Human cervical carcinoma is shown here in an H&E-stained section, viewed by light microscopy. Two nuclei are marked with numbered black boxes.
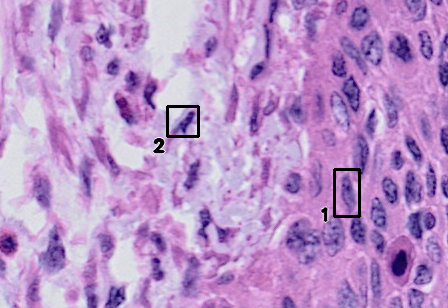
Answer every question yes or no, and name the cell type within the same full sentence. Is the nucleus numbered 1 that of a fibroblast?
No, it is not a fibroblast that bears number 1 but a squamous carcinoma cell.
